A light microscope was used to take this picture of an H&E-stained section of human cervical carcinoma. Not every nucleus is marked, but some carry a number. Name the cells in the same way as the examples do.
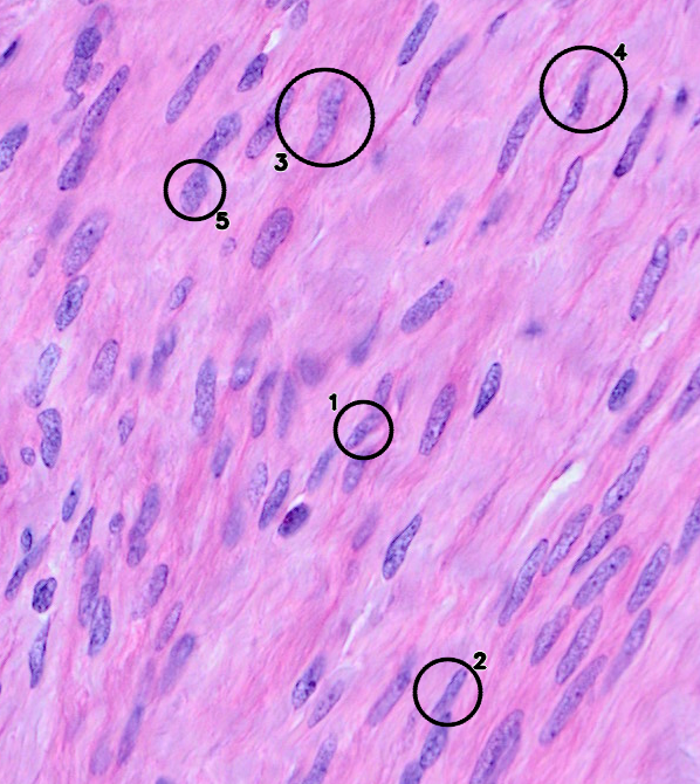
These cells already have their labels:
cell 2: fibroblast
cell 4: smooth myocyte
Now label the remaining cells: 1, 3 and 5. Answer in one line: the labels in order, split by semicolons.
smooth myocyte; smooth myocyte; fibroblast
